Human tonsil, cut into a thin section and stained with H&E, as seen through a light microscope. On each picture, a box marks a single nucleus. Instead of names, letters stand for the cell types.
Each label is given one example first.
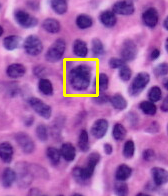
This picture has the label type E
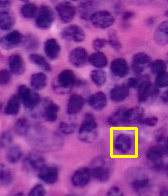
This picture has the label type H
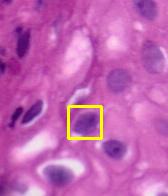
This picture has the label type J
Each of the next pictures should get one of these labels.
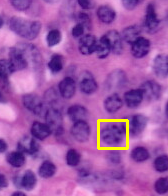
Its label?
type H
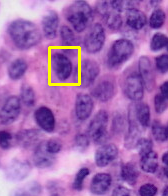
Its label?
type E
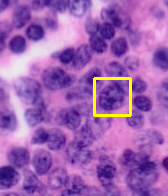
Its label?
type E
